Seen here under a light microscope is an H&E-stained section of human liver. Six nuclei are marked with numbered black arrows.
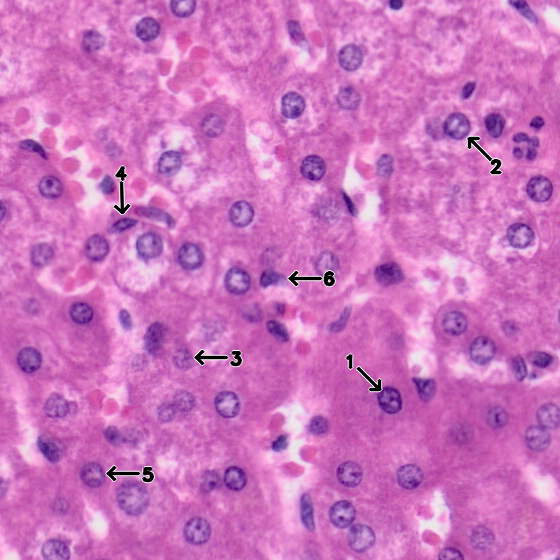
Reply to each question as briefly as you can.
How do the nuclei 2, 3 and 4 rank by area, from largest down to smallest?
2, 3, 4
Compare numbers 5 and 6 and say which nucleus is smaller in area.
6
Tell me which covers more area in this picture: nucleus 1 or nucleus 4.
1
